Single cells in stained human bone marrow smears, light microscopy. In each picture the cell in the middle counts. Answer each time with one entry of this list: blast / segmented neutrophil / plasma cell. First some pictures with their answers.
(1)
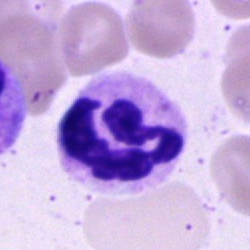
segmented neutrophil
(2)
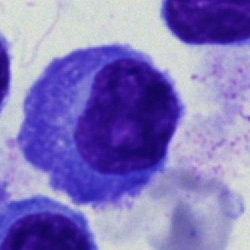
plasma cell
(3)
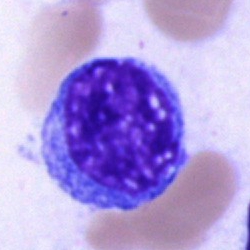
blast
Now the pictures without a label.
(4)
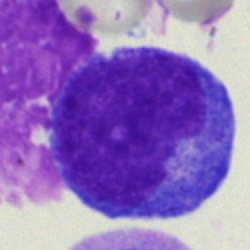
blast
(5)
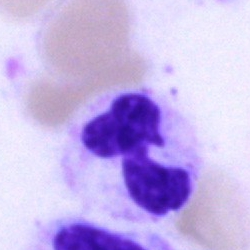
segmented neutrophil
